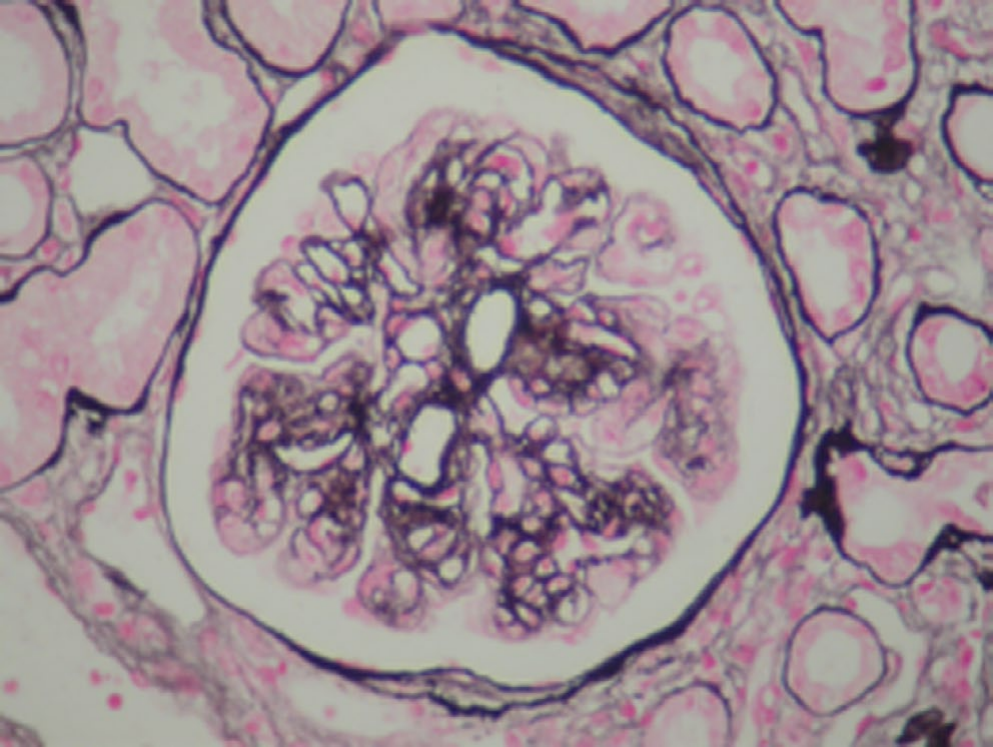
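A single glomerulus sits within Bowman's capsule, which is outlined by a black silver-stained line, with a clear urinary space between capsule and tuft. Near the centre a few capillary lumina are widely dilated and empty compared with the narrower loops around them. Cross-sections of renal tubules with pink epithelium and black-outlined basement membranes surround the glomerulus in the interstitium.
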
